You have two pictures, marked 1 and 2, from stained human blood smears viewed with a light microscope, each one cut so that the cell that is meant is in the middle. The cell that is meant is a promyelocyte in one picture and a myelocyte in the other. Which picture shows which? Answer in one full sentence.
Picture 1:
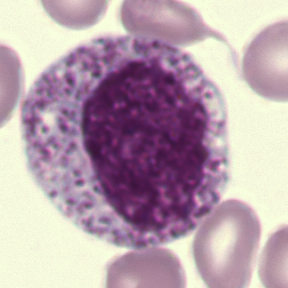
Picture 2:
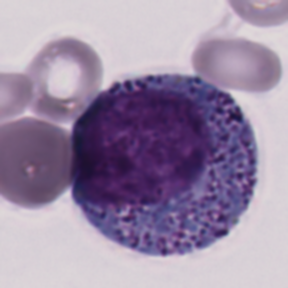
Picture 1 shows a myelocyte and picture 2 shows a promyelocyte.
